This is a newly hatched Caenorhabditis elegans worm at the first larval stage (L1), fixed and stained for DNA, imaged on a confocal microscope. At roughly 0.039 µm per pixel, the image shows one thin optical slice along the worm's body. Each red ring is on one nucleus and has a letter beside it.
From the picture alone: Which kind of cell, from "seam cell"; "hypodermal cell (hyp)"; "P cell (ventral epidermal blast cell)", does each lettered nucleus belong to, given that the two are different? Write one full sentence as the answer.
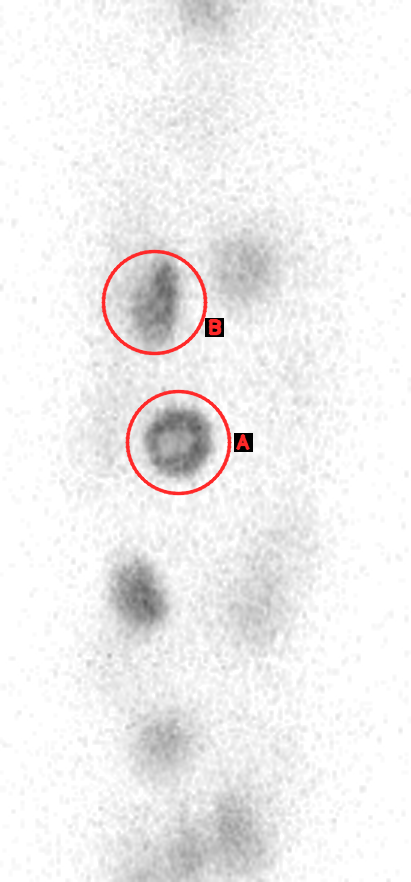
The nucleus A is that of a seam cell, while B is that of a P cell (ventral epidermal blast cell).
